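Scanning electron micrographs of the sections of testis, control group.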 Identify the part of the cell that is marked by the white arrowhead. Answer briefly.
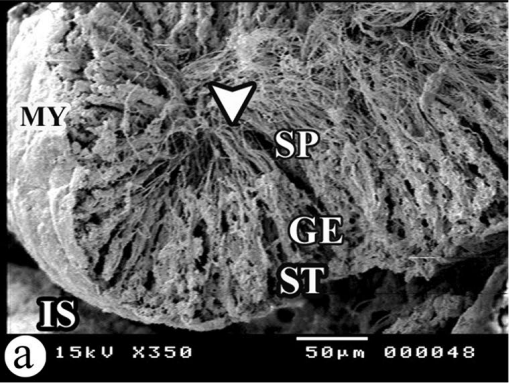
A: Long flagellae.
